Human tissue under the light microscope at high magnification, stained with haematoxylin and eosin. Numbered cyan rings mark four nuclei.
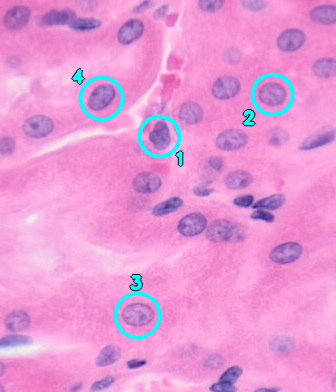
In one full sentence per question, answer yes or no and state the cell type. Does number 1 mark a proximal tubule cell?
No, the cell tagged 1 is an endothelial cell, and not a proximal tubule cell.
